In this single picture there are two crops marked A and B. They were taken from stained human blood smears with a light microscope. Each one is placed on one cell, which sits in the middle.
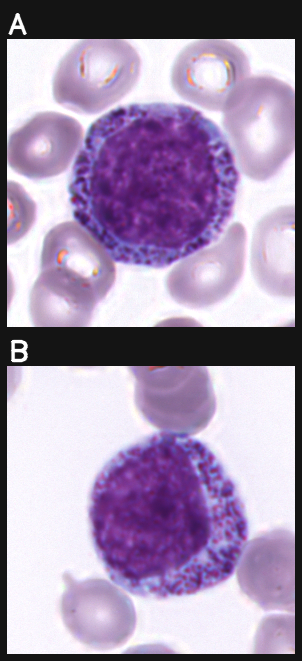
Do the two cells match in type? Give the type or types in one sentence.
No, crop A contains a promyelocyte, whereas crop B contains a myelocyte.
